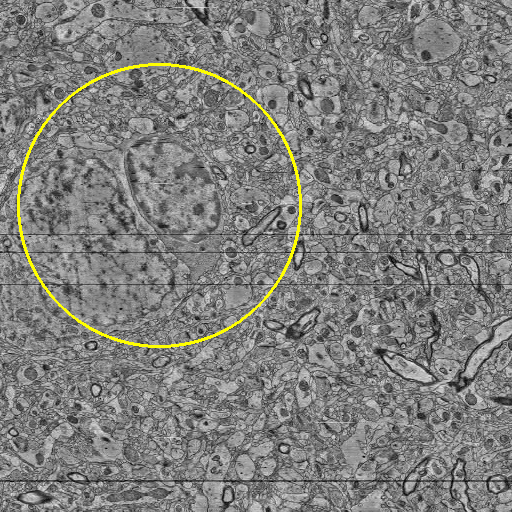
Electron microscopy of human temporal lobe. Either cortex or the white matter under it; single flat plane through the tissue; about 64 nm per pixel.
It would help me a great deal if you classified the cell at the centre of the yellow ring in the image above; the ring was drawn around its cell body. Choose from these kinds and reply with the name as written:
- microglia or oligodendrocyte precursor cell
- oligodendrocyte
oligodendrocyte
